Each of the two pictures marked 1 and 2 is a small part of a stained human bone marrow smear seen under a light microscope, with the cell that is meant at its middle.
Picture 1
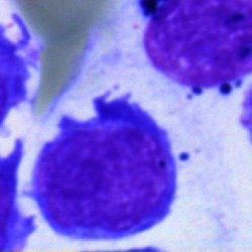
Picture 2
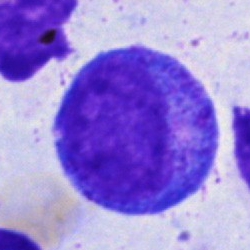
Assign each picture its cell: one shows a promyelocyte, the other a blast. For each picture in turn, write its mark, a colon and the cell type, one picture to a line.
1: blast
2: promyelocyte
